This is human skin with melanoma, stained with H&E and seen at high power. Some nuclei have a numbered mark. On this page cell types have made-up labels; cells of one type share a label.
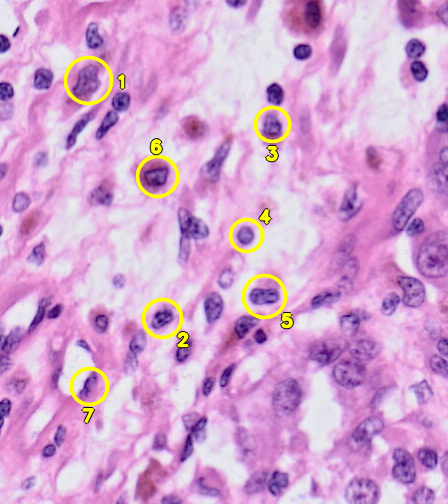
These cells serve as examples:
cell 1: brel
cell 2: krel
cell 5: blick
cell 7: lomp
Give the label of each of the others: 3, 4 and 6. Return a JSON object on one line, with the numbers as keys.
{"3": "brel", "4": "blick", "6": "brel"}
